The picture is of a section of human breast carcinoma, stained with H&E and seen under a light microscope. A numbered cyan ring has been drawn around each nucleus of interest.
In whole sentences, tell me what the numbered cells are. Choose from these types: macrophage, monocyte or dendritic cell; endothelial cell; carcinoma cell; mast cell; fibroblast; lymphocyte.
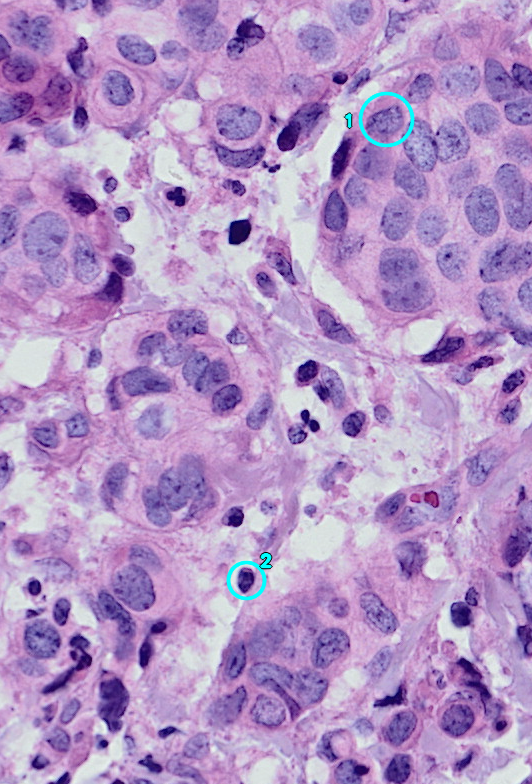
Cell 1 is a carcinoma cell. Cell 2 is a lymphocyte.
